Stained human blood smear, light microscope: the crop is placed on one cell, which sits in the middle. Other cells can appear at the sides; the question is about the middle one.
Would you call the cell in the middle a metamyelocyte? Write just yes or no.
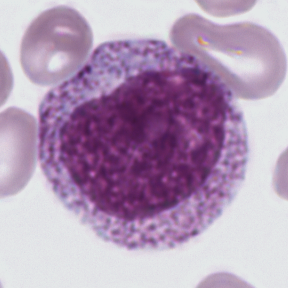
no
